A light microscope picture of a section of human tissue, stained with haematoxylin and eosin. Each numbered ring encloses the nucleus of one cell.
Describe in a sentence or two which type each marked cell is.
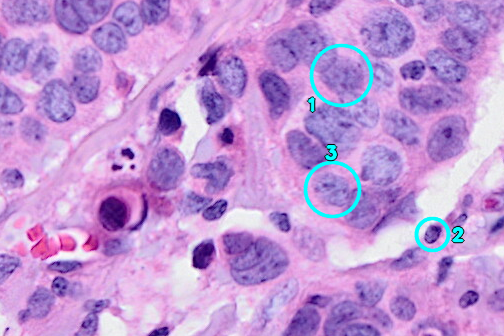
Cells 1 and 3 are carcinoma cells. Cell 2 is a lymphocyte.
